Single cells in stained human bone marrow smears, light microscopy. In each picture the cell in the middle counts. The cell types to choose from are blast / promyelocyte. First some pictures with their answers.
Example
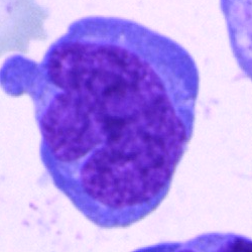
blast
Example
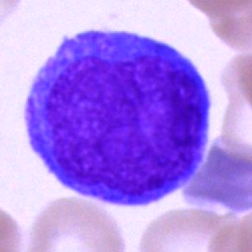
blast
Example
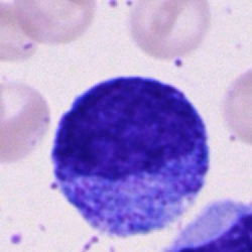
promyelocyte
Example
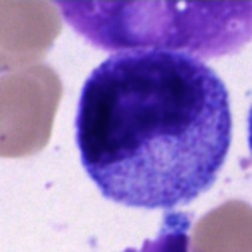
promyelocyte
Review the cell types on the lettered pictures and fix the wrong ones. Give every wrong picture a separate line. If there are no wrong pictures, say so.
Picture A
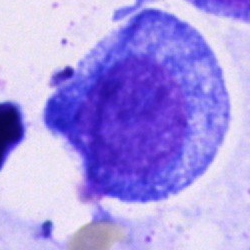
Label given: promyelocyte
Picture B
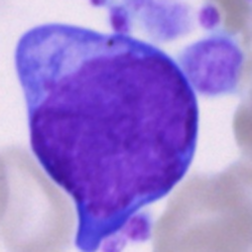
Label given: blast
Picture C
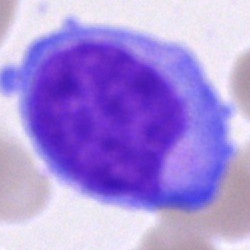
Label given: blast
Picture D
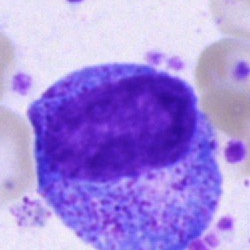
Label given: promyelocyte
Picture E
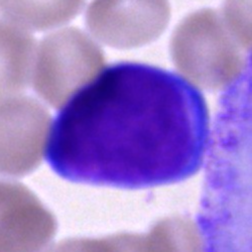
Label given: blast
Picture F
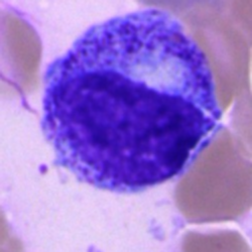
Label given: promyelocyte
No label is wrong.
